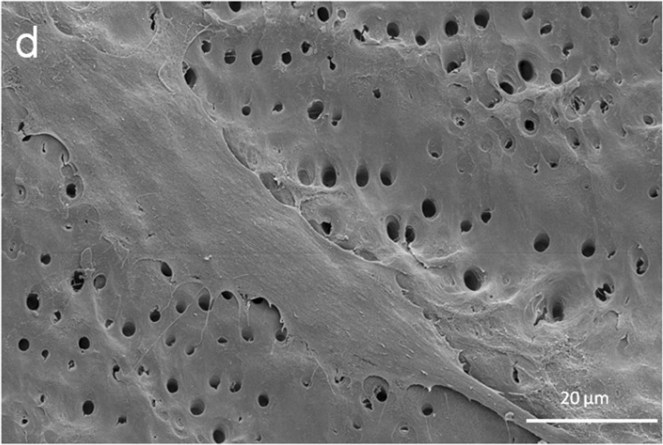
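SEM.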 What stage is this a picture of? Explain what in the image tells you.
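A thin, smooth sheet lies flat on the substrate. The sheet covers part of a surface perforated by round holes. The answer: flat spread out and attached cells.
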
